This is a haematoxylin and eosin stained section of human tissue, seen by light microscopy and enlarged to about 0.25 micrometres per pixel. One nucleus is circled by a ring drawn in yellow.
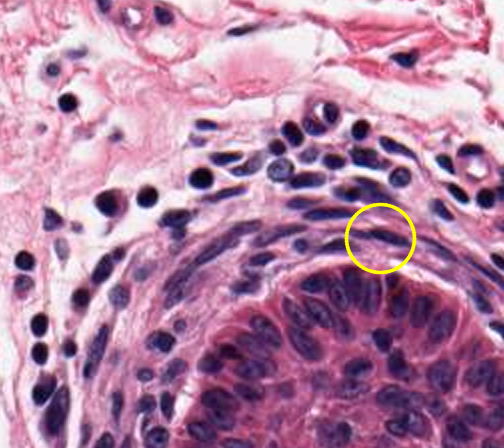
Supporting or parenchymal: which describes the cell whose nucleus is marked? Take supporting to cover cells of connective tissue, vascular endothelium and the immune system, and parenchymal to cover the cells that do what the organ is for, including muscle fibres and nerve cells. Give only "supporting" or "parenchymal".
supporting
